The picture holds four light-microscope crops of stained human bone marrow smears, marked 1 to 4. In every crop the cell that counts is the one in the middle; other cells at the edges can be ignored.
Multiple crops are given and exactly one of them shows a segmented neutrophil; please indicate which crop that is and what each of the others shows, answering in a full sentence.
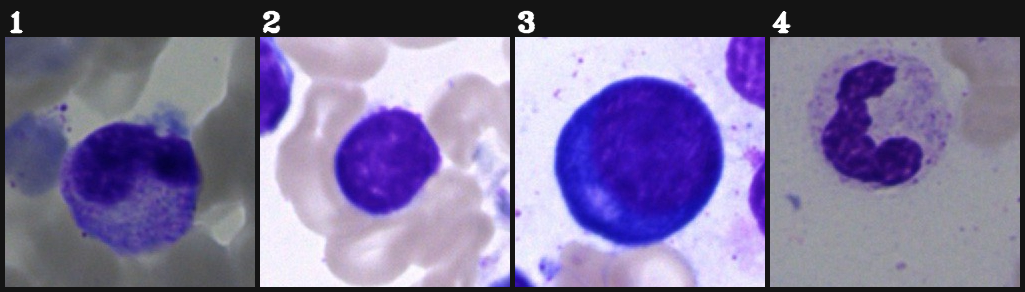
The middle cell of crop 4 is a segmented neutrophil, while crop 1 is a band neutrophil, crop 2 is a lymphocyte and crop 3 is a proerythroblast.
